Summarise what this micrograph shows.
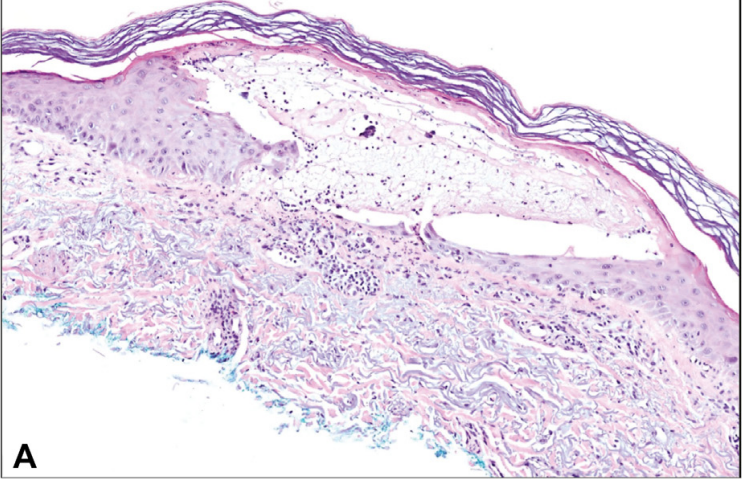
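Within the epidermis a large pale space opens beneath an intact, layered cornified layer, with keratinocytes of the epidermis flanking it on either side. The space holds pale debris and scattered small dark inflammatory cells. In the dermis below, clusters of dark inflammatory cells lie among pink and bluish collagen fibres. This is an intraepidermal vesicle with inflammatory cells moving into the epidermis.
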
